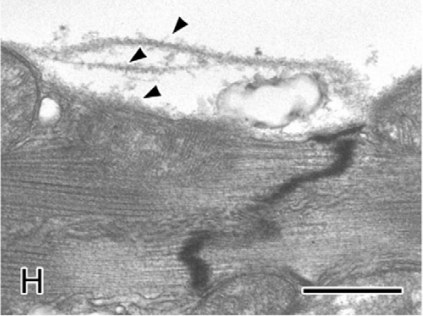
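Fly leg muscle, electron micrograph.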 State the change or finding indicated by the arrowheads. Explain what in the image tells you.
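Duplicated and multilayered. Several separate thin fuzzy layers lie stacked outside the fiber surface. The layers are separated by clear spaces.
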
